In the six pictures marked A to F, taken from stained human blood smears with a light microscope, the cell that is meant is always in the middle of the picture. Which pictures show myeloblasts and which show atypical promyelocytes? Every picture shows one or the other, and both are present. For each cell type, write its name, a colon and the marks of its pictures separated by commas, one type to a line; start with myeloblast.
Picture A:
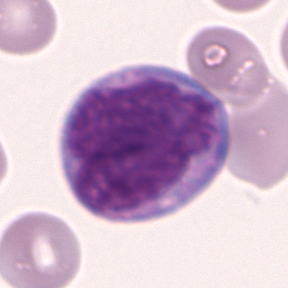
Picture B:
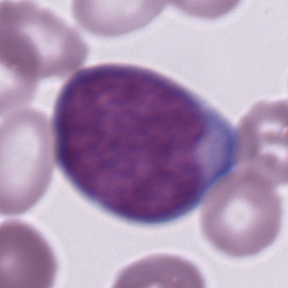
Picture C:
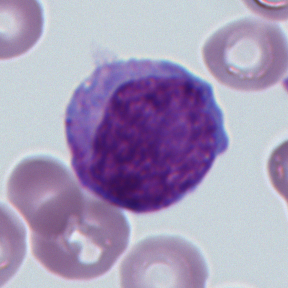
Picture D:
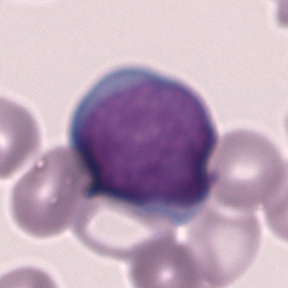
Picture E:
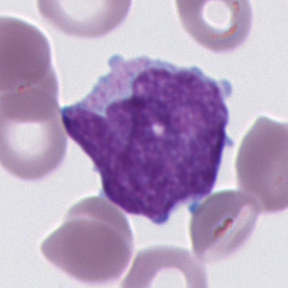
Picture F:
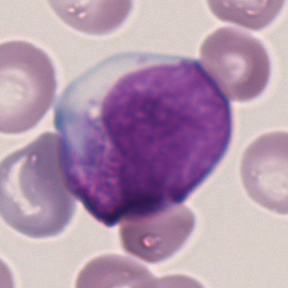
myeloblast: B, D
atypical promyelocyte: A, C, E, F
